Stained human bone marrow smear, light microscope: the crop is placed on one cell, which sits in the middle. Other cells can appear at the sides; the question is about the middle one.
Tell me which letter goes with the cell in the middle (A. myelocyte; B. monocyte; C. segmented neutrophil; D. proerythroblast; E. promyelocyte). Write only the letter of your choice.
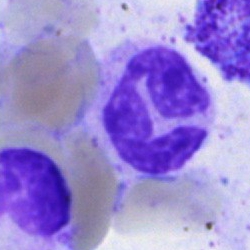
C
